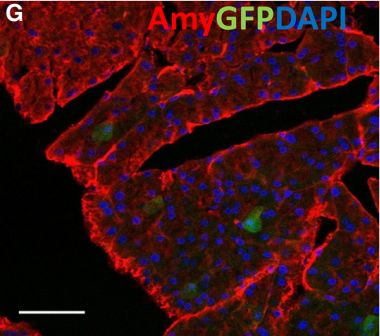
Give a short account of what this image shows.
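Exocrine pancreas with acinar cells. Red staining fills the cytoplasm of densely packed epithelial cells and is brightest along cell borders and luminal edges. A few isolated cells show faint green cytoplasm among the red-stained cells.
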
